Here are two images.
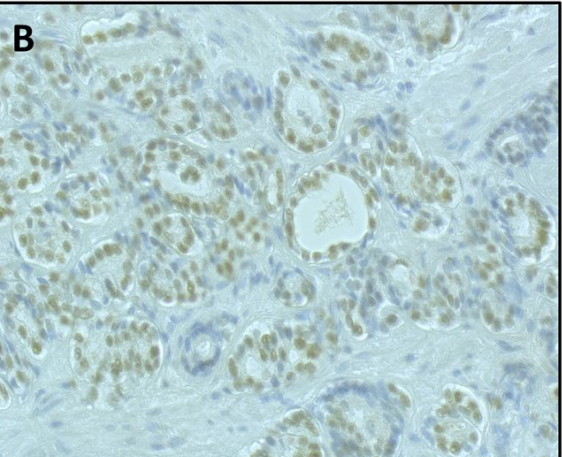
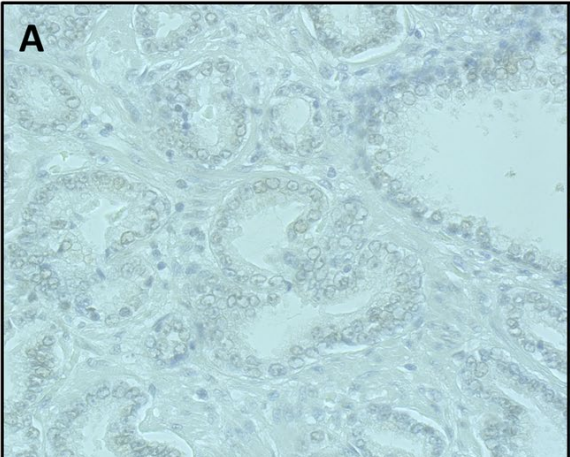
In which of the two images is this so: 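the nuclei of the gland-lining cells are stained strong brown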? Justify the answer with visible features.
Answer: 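First image: most gland-lining nuclei are solidly dark brown. Second image: gland-lining nuclei are pale, with only faint brown tint and visible nuclear outlines.
Hence: the first image.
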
